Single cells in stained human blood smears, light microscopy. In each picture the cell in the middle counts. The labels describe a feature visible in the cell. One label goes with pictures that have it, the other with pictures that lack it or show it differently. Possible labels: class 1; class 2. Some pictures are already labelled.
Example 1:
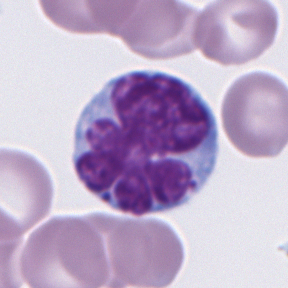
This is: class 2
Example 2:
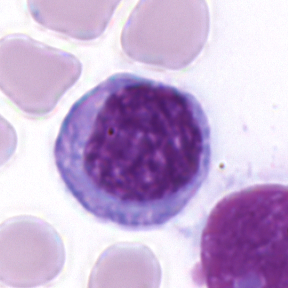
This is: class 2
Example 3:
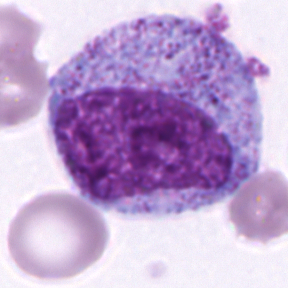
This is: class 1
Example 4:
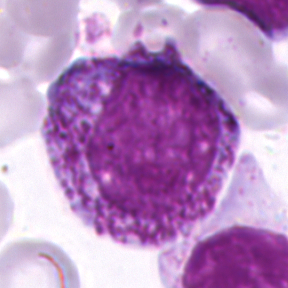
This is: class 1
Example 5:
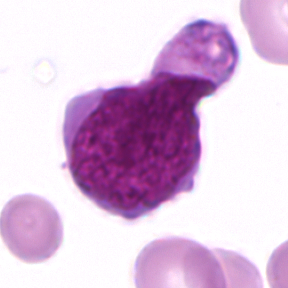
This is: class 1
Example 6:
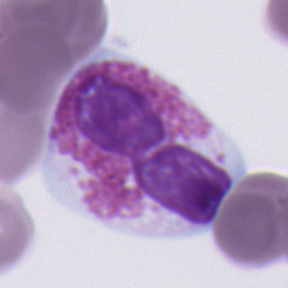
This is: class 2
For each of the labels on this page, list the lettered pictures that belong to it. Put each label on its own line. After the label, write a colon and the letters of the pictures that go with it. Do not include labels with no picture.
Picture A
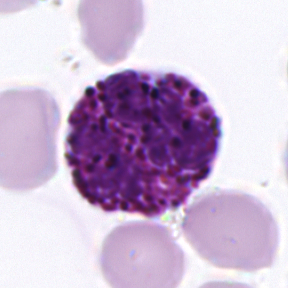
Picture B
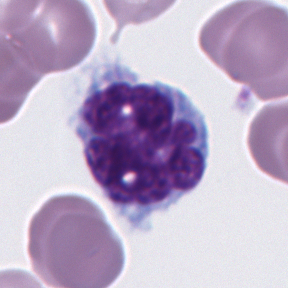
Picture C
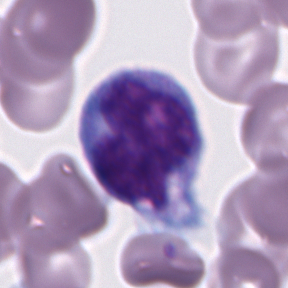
class 1: B, C
class 2: A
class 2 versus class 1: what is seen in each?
Seen in class 2: smooth outline; seen in class 1: ragged outline or projections.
